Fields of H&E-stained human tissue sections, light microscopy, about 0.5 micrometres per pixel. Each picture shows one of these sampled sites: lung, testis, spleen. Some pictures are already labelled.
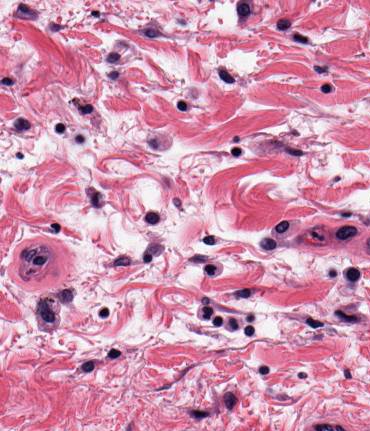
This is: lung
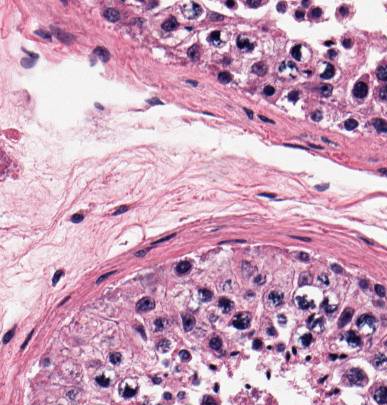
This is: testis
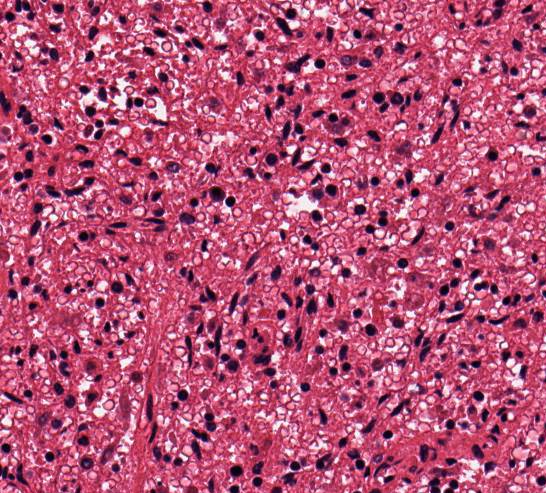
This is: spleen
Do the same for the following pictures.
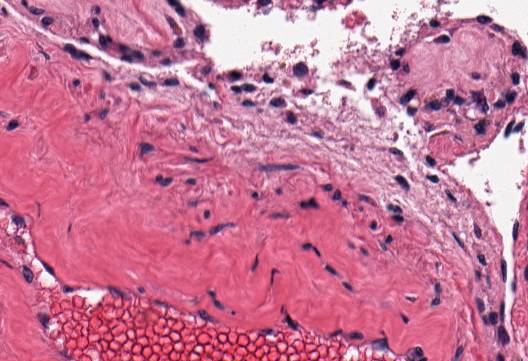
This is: testis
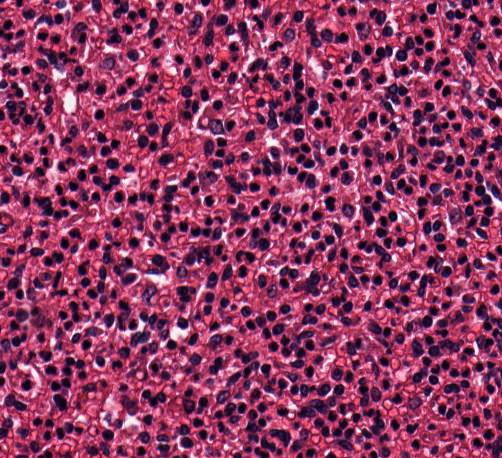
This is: spleen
